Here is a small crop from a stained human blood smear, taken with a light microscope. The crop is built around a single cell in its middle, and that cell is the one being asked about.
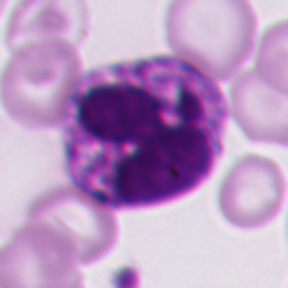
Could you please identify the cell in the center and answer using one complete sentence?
The cell around which this crop is centred is a basophil.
